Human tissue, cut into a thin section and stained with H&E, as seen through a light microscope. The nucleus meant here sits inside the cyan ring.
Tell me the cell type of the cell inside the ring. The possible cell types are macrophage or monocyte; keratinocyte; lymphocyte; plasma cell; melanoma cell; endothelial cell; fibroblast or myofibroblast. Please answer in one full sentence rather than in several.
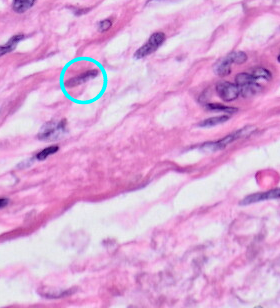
At the level of cell identity, the cell inside the ring is a fibroblast or myofibroblast.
